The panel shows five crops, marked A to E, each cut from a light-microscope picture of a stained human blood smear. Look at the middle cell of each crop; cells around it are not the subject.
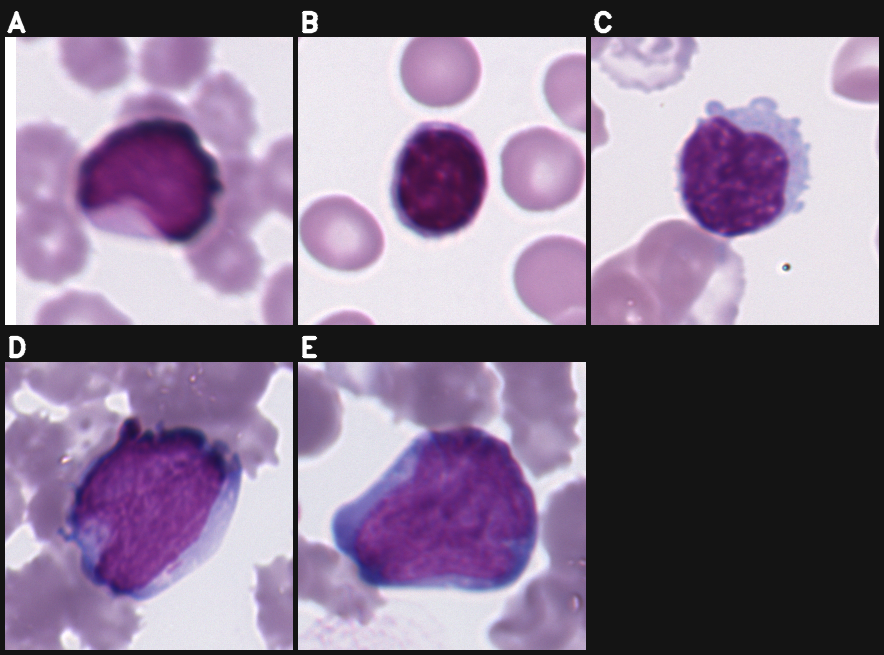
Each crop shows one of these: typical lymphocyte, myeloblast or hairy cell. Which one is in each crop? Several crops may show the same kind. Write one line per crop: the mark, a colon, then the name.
A: myeloblast
B: typical lymphocyte
C: typical lymphocyte
D: myeloblast
E: myeloblast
